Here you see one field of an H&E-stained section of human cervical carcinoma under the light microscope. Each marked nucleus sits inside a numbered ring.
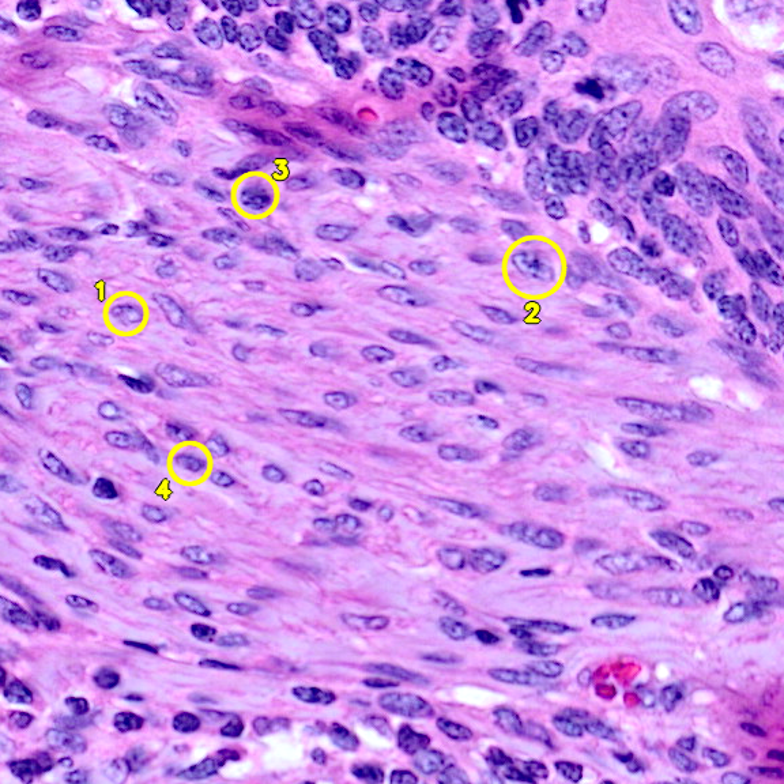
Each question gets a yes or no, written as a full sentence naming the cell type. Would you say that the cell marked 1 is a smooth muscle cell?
Yes, looking at number 1, that cell is a smooth muscle cell.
